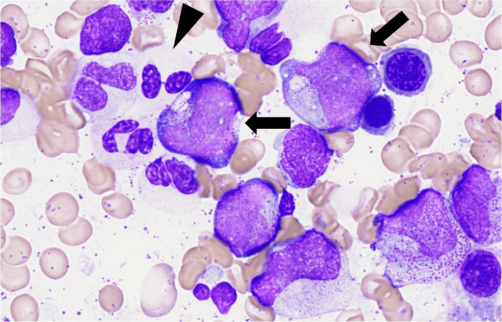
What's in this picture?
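A bone marrow smear with several large immature cells among red cells and segmented granulocytes. The large cells have round to irregular nuclei with fine, open purple chromatin and a rim of deep blue cytoplasm, some with a pale area next to the nucleus and scattered fine granules. Nearby lie smaller cells with segmented or bilobed, coarsely clumped nuclei and pale cytoplasm with few visible granules, and a small round cell with dark compact chromatin. The large cells are blasts with perinuclear hofs and cytoplasmic granules; the segmented cells include degranulated neutrophils with pseudo-Pelger-Huët nuclei.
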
